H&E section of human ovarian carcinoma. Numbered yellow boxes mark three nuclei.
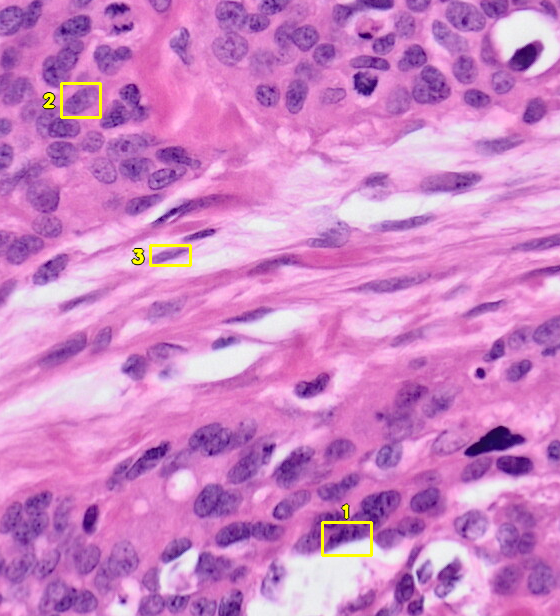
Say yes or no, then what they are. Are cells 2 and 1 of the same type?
Yes, both are carcinoma cells.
